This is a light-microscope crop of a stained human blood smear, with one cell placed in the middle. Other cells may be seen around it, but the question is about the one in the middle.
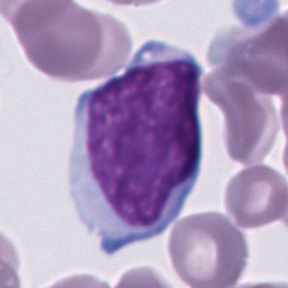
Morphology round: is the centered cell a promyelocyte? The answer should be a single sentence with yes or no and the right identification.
No, the cell at the centre of the crop is a myeloblast and not a promyelocyte.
